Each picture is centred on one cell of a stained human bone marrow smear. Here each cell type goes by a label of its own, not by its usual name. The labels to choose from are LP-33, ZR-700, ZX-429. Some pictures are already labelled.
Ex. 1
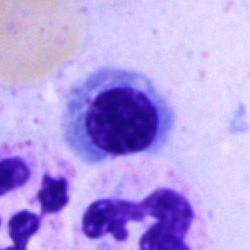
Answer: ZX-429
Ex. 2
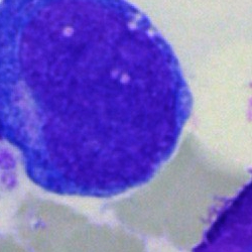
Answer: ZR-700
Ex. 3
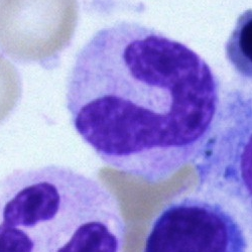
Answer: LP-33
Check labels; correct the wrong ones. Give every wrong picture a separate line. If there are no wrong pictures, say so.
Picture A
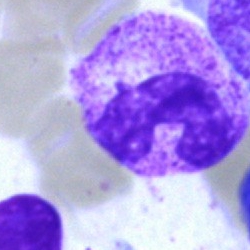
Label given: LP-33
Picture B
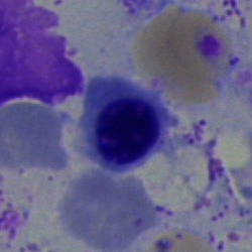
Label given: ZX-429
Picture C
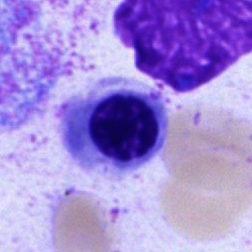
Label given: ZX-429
All labels are correct.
